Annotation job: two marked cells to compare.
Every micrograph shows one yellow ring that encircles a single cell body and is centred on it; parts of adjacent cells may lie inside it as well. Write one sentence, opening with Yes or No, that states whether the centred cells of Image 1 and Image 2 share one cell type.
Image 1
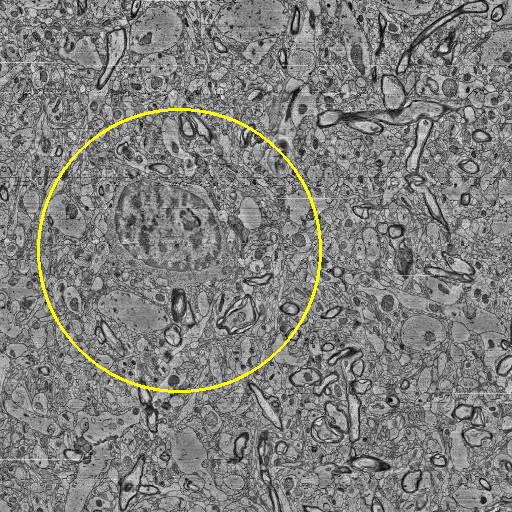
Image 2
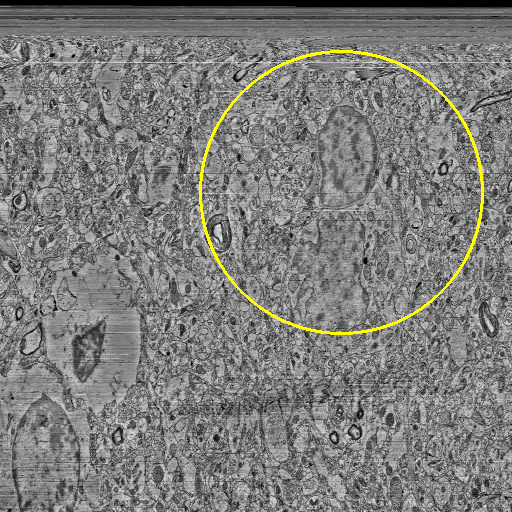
Yes, the cell centred in Image 1 shares its type with the cell centred in Image 2.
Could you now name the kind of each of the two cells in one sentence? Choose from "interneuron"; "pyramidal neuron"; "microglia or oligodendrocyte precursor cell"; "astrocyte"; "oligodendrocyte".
Each cell at the centre of a ring is an oligodendrocyte.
